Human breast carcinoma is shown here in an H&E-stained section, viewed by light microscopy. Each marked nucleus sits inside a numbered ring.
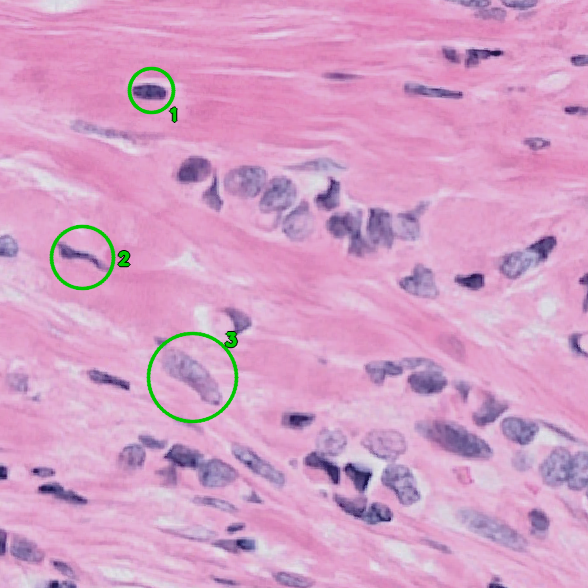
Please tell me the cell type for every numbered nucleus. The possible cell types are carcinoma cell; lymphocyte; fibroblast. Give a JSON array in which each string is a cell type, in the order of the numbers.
["lymphocyte", "fibroblast", "fibroblast"]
